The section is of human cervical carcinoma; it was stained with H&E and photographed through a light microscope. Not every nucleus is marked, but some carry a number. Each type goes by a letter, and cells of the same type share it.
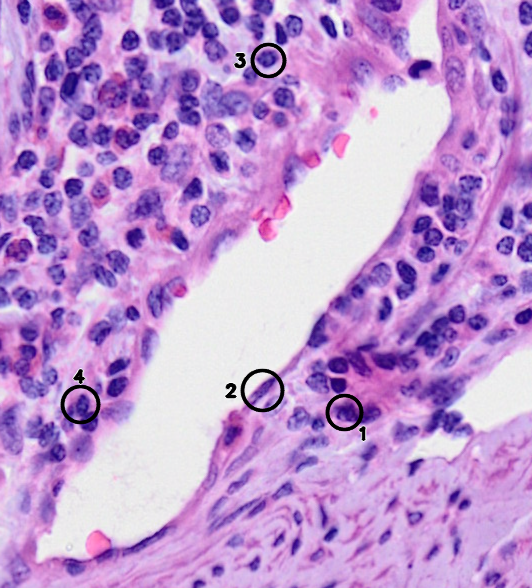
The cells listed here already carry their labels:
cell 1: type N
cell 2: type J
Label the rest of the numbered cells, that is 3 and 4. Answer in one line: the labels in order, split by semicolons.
type N; type N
